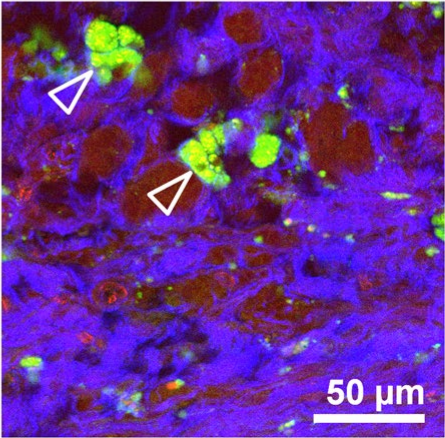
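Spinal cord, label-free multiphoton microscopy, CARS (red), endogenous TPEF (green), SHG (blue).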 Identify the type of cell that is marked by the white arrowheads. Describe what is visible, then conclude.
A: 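Inflammatory cells. The arrowheads point to clusters of bright yellow-green granular cells. The clusters sit within a blue fibrous matrix.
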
